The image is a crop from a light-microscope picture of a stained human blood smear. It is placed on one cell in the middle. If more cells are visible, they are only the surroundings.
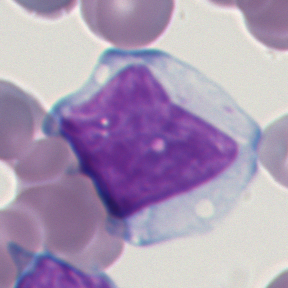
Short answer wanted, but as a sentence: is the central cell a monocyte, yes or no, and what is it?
No, that is not a monocyte; the middle cell is a blast.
